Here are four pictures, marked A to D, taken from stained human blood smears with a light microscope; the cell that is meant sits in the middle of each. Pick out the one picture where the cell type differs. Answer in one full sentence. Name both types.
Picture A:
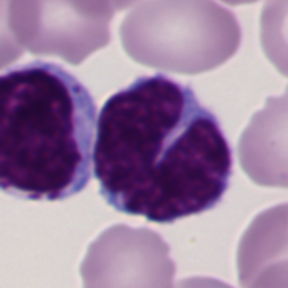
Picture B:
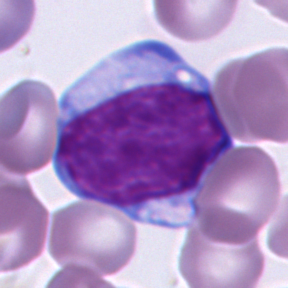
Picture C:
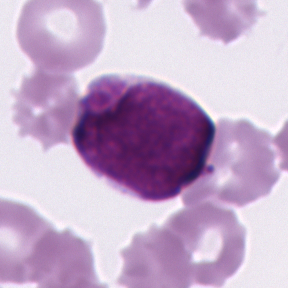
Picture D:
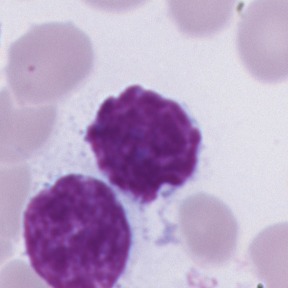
All pictures except A show myeloblasts; picture A shows a typical lymphocyte.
